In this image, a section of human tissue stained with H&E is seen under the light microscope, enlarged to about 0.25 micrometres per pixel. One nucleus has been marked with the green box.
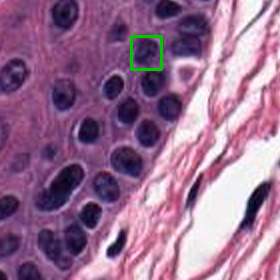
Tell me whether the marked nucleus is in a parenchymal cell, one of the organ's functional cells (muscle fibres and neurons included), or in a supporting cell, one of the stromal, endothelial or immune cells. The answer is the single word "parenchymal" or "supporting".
parenchymal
